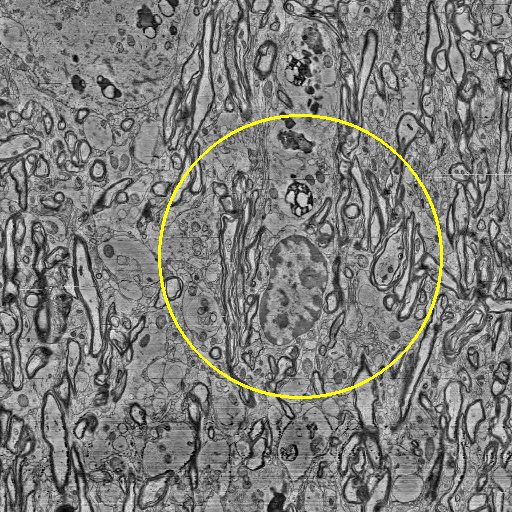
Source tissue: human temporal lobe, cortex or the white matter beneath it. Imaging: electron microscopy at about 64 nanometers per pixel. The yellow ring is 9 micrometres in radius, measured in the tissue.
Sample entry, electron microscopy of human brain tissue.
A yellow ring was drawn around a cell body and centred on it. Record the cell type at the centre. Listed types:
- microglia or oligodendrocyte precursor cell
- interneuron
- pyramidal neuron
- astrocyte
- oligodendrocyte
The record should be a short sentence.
The cell at the ring's centre is a microglial cell or oligodendrocyte precursor cell.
